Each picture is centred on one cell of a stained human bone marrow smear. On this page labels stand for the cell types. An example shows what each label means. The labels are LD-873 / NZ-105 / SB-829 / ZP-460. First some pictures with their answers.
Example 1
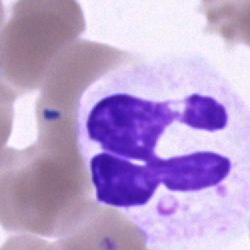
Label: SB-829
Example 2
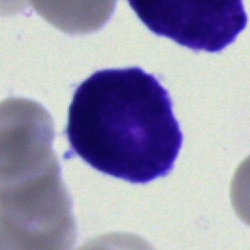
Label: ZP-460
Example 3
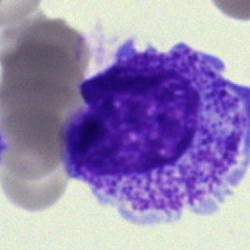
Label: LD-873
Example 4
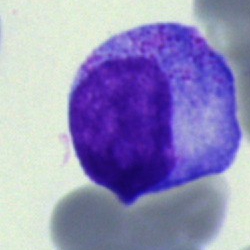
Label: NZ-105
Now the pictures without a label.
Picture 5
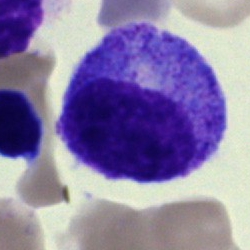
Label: NZ-105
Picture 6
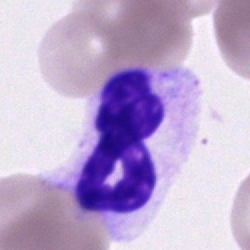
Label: SB-829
